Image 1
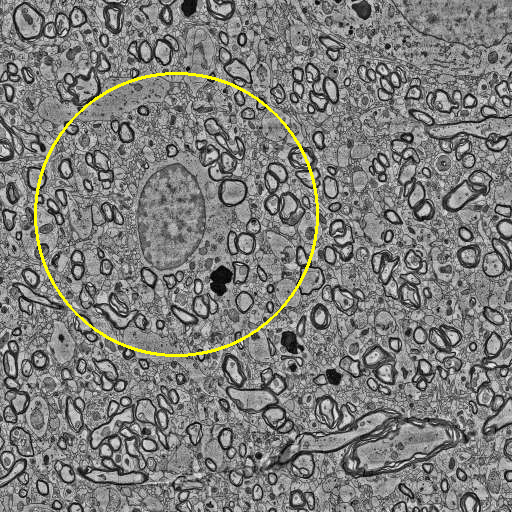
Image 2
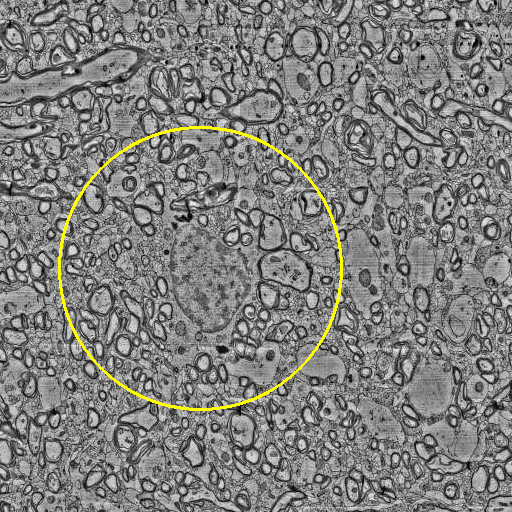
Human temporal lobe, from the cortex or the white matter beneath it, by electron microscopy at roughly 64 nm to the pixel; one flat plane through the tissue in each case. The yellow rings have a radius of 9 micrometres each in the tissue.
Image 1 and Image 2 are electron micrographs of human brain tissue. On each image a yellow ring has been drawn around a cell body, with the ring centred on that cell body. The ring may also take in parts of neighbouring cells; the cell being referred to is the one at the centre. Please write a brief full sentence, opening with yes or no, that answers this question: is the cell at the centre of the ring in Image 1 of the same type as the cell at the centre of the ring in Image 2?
Yes, both cells are of the same type.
